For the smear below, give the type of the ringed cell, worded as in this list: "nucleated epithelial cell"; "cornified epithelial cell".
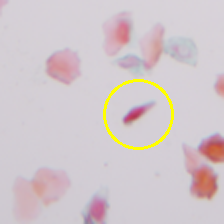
nucleated epithelial cell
